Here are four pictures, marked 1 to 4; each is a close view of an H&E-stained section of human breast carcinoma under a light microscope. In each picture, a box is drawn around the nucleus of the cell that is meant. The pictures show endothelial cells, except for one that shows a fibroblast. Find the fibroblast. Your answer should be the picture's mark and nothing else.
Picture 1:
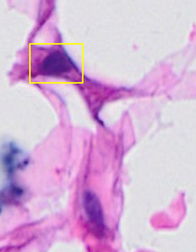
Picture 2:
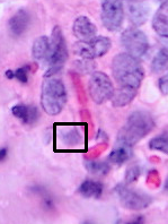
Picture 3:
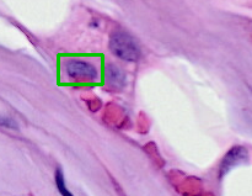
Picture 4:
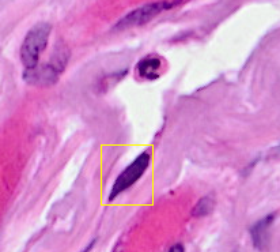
4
